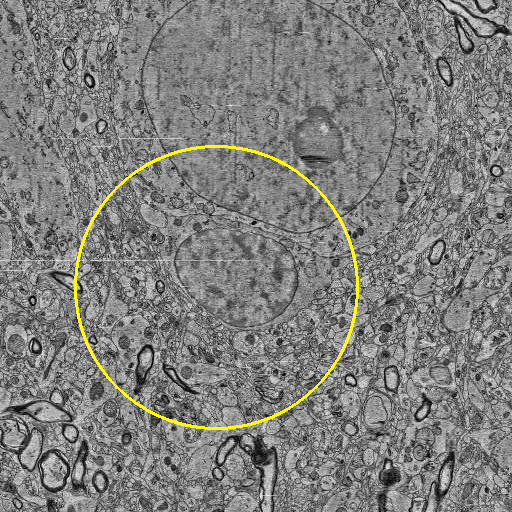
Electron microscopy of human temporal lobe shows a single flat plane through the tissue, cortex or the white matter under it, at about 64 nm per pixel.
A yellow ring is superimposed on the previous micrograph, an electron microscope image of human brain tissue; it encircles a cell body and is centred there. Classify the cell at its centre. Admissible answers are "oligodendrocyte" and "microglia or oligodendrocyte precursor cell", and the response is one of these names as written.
oligodendrocyte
